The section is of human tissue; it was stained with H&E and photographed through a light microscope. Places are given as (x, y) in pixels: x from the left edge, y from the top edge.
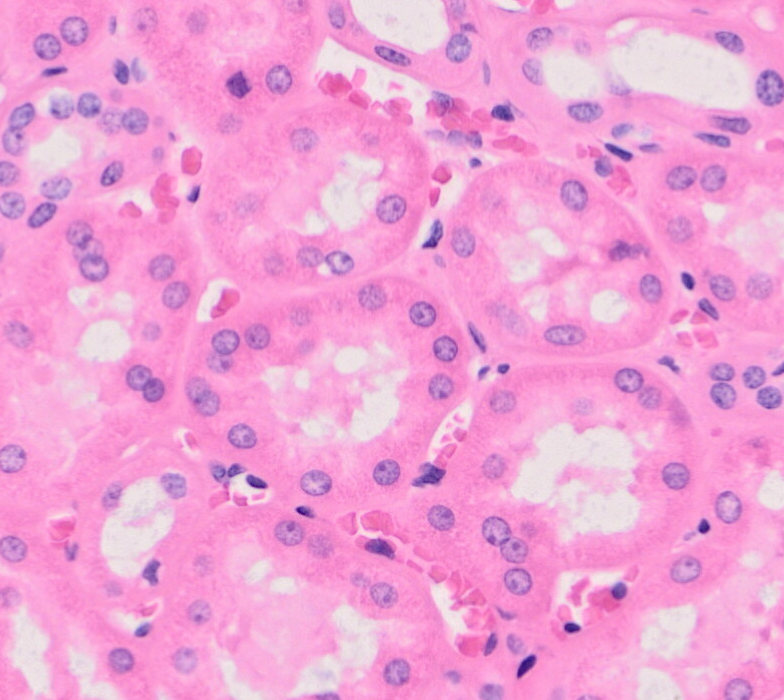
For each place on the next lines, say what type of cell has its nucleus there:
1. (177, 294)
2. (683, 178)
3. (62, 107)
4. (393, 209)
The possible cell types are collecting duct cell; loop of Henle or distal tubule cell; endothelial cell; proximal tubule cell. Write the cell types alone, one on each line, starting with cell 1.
proximal tubule cell
proximal tubule cell
collecting duct cell
proximal tubule cell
